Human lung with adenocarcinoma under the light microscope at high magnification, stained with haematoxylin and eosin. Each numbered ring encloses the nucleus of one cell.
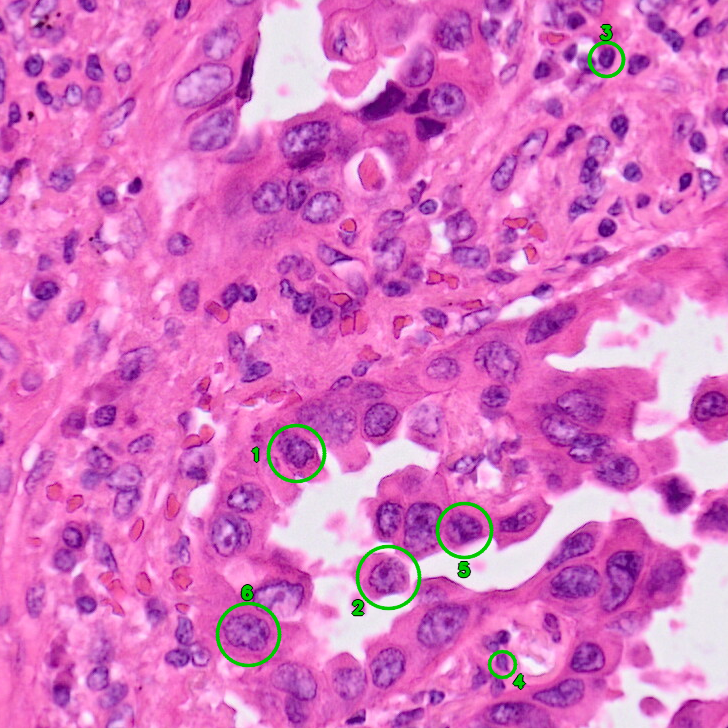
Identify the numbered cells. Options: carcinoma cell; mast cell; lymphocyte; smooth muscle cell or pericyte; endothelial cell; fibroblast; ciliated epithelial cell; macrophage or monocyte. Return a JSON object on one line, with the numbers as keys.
{"1": "carcinoma cell", "2": "carcinoma cell", "3": "lymphocyte", "4": "lymphocyte", "5": "carcinoma cell", "6": "carcinoma cell"}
